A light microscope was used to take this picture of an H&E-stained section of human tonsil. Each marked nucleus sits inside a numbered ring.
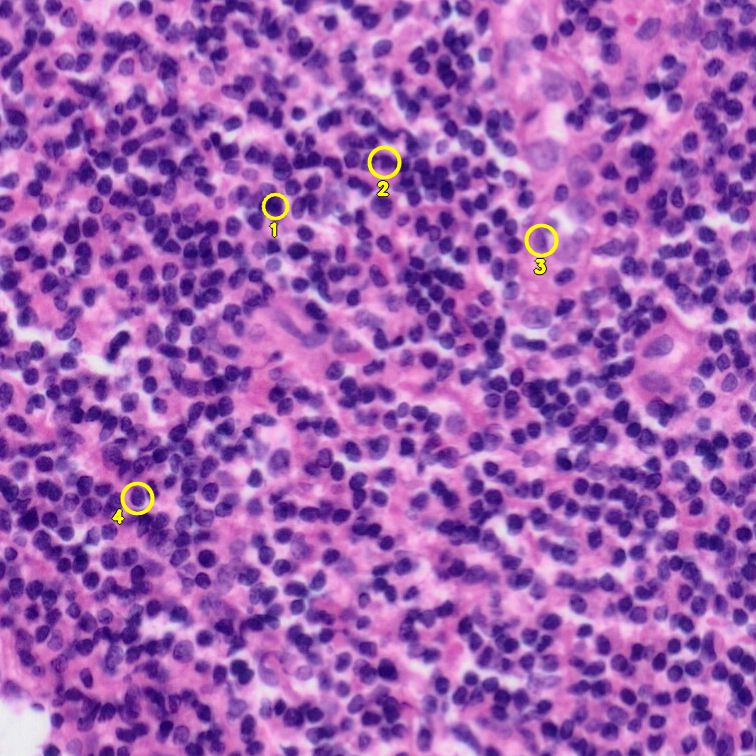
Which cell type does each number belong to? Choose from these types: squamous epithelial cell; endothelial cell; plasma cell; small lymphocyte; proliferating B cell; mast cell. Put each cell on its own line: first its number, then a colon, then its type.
1: small lymphocyte
2: small lymphocyte
3: endothelial cell
4: small lymphocyte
